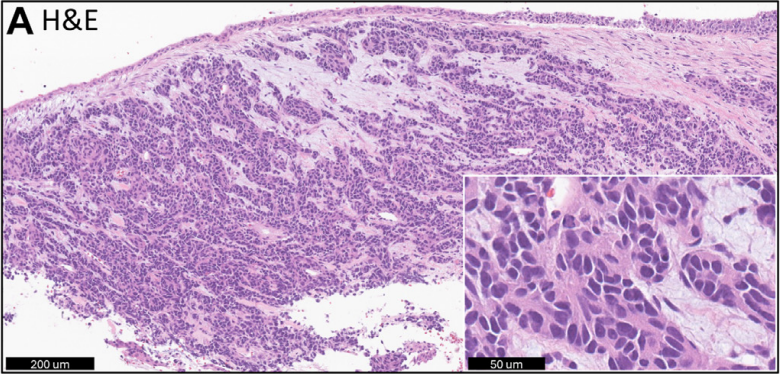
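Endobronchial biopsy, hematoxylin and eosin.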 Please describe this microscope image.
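The tumor cells are crowded and packed closely within each nest. The cells have a moderate amount of pink cytoplasm. Nuclear atypia is modest.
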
